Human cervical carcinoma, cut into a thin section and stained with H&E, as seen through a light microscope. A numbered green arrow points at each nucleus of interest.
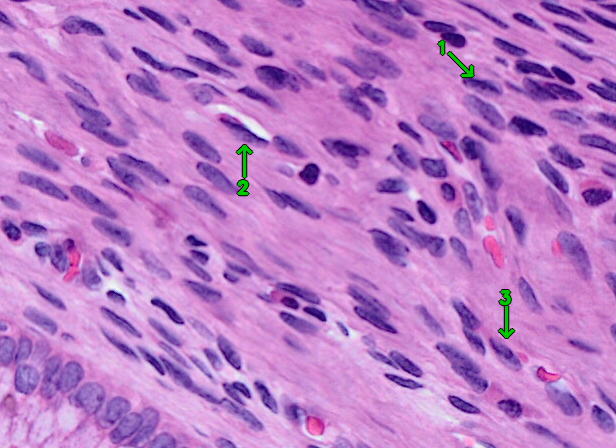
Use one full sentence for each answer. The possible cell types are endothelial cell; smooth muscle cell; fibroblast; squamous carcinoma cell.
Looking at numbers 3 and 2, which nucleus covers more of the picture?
Of the two, number 2 is bigger and takes up about 1.5 times the area of number 3.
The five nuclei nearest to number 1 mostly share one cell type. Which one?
Of the five nuclei nearest to number 1, most belong to fibroblasts.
